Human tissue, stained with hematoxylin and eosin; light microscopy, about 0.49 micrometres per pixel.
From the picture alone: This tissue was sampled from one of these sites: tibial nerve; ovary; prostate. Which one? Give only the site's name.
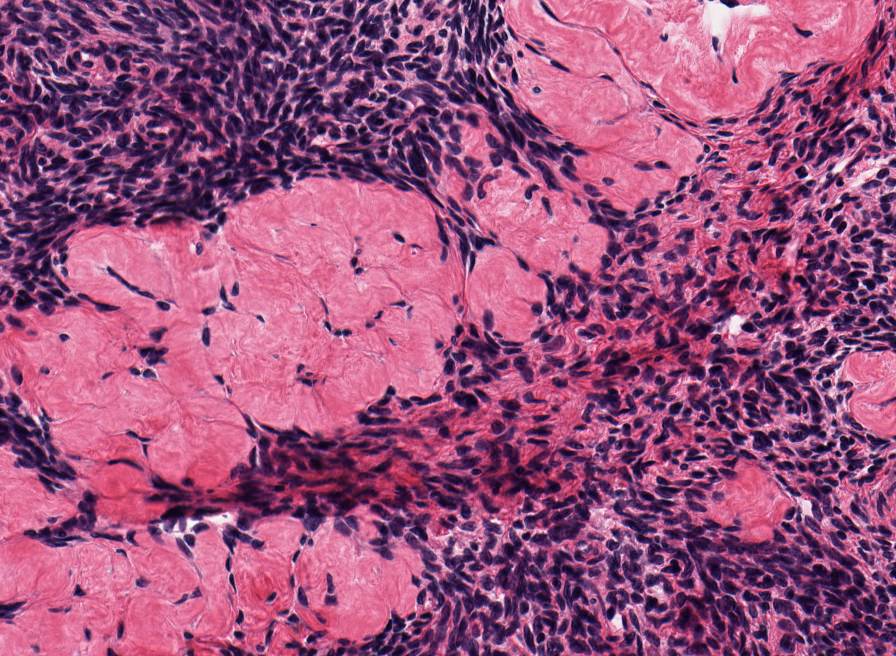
ovary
